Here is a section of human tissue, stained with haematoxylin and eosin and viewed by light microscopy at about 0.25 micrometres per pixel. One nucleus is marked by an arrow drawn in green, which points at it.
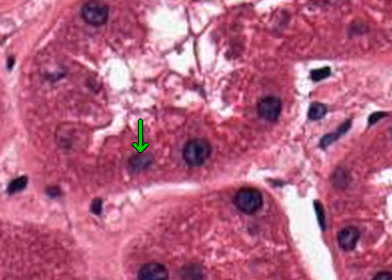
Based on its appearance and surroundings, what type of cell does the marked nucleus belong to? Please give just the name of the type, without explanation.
proximal tubule cell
